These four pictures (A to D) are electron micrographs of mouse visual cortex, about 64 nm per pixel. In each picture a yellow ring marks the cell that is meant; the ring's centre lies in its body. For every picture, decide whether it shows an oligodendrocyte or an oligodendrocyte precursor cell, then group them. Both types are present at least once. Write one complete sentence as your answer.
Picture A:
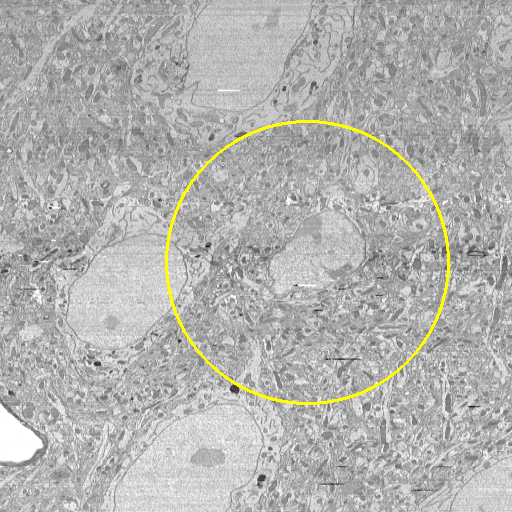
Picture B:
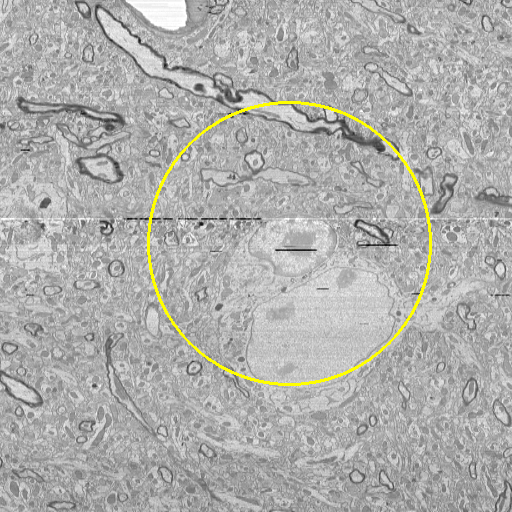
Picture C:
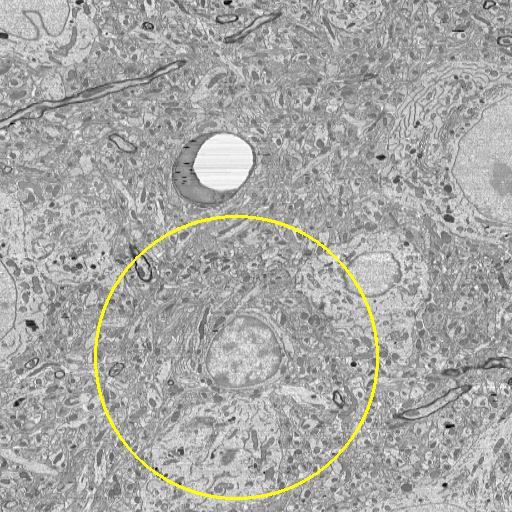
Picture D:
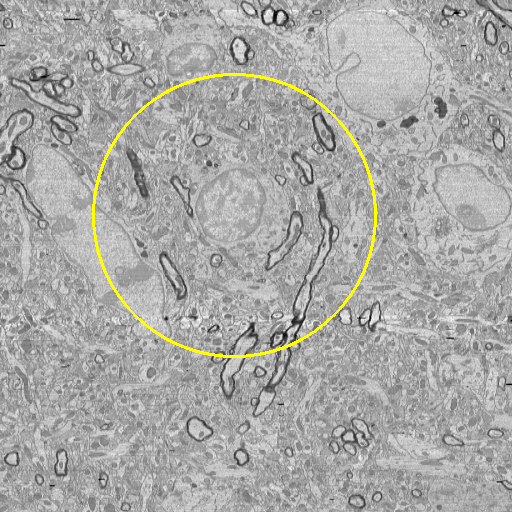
Pictures B, C and D show oligodendrocytes, while picture A shows an oligodendrocyte precursor cell.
